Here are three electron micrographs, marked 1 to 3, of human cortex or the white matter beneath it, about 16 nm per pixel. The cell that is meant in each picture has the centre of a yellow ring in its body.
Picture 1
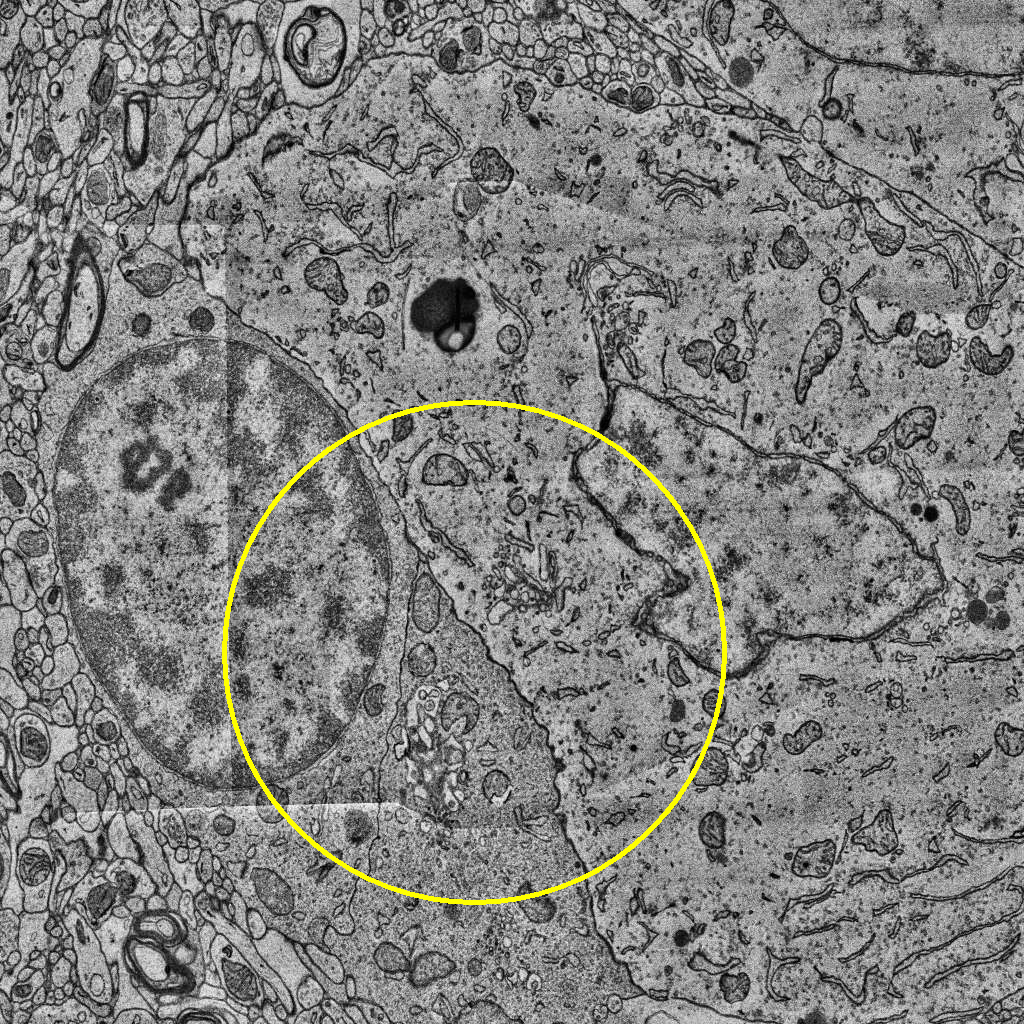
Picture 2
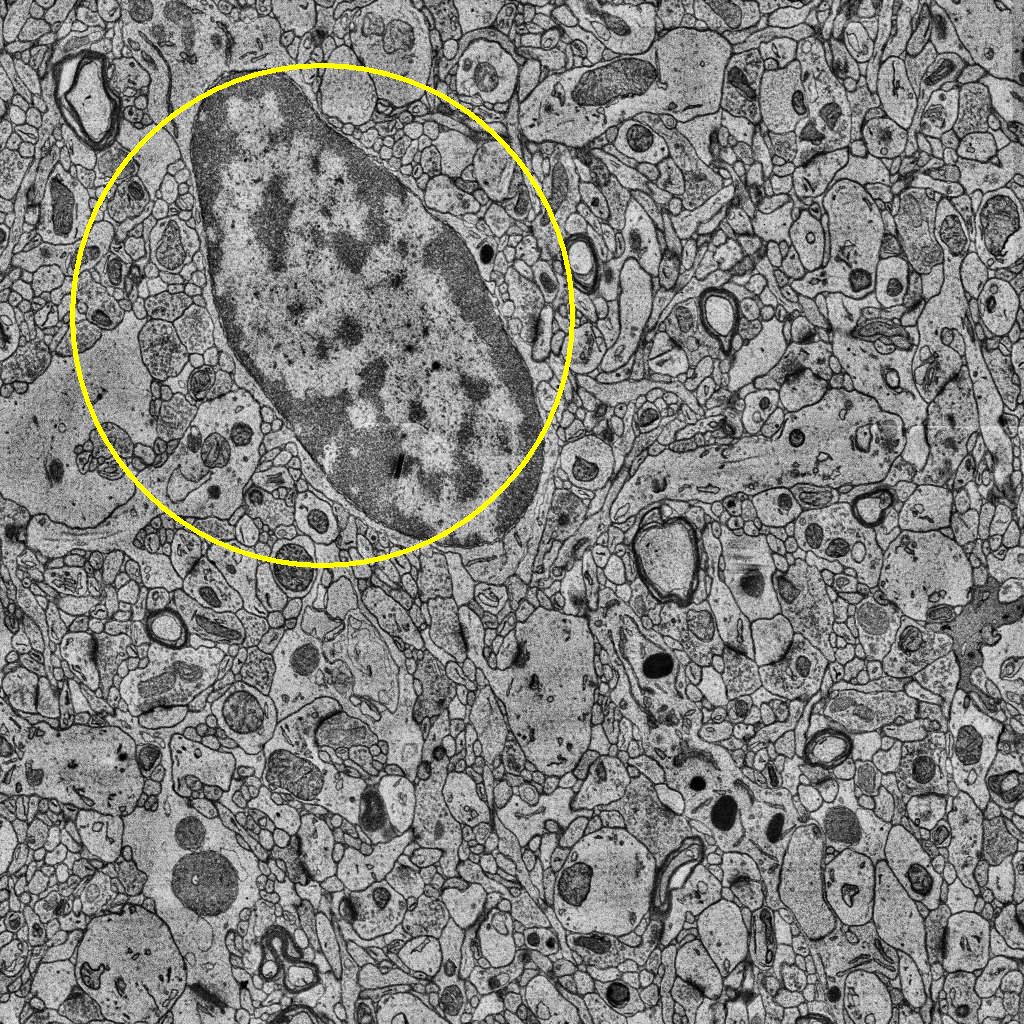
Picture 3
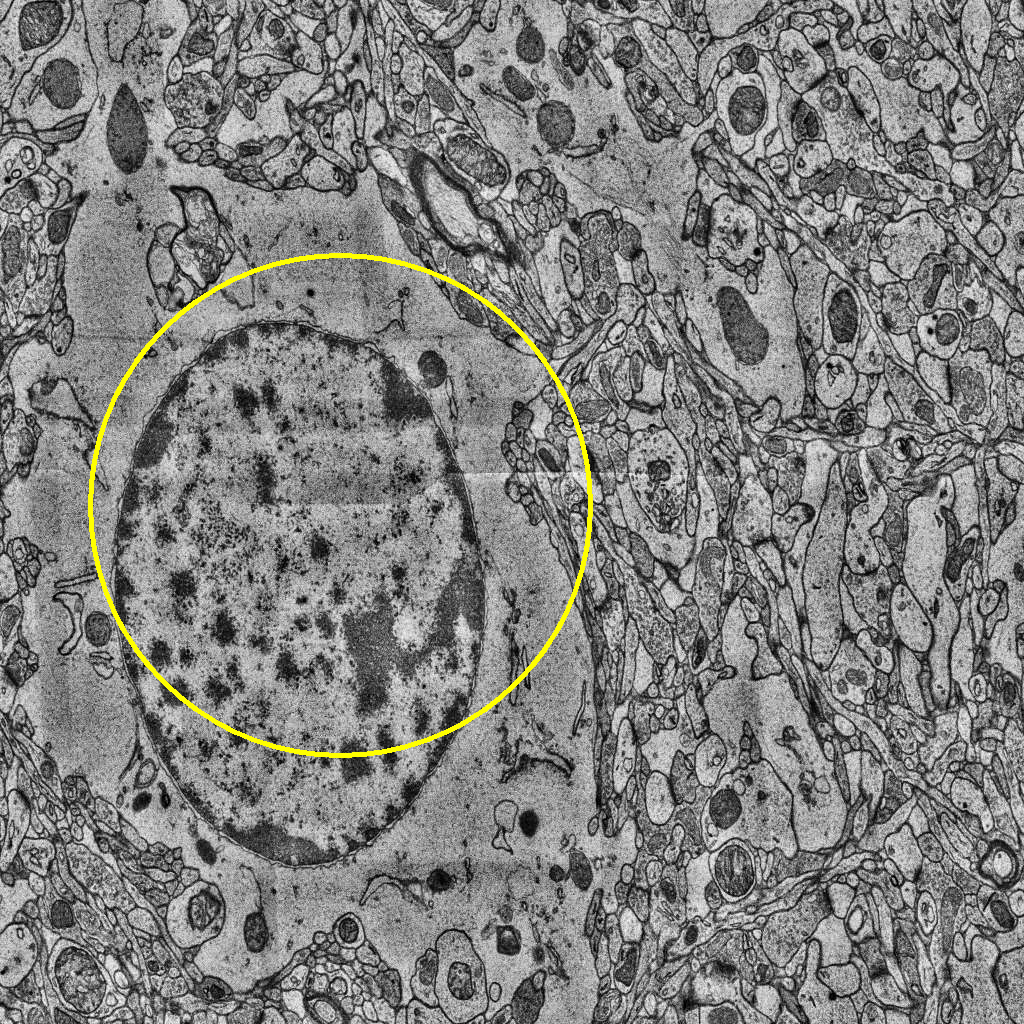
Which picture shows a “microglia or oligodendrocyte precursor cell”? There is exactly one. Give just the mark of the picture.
2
